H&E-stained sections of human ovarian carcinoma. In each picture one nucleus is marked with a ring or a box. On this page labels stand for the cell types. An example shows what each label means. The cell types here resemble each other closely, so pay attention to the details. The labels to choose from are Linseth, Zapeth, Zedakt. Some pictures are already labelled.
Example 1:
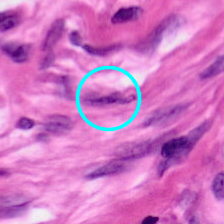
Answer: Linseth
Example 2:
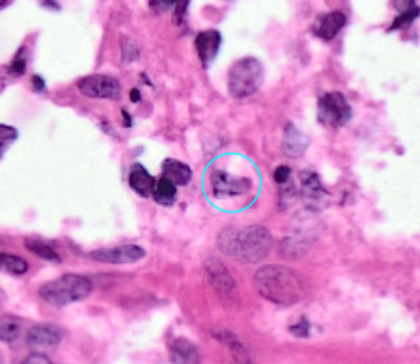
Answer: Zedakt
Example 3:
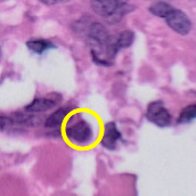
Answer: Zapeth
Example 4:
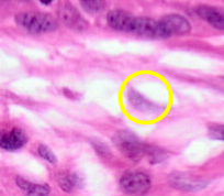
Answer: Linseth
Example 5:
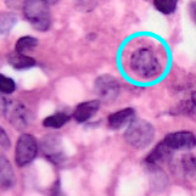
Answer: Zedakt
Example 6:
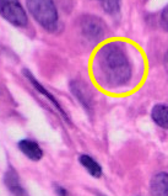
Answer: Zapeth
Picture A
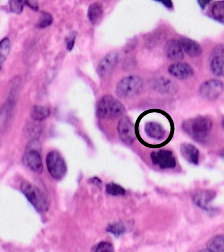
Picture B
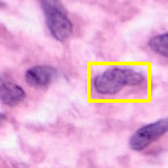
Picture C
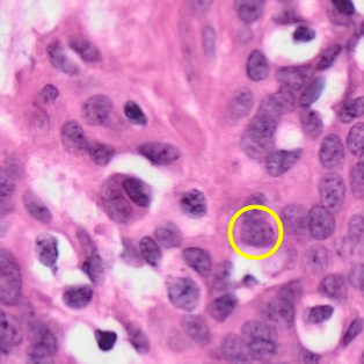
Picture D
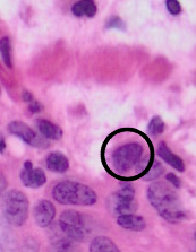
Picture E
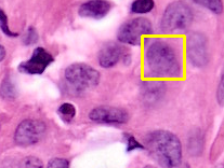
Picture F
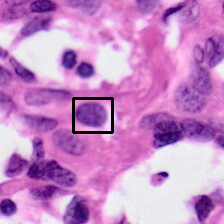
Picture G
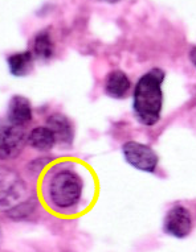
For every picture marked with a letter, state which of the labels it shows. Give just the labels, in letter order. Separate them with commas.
Zapeth, Linseth, Zapeth, Zapeth, Zapeth, Zapeth, Zapeth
